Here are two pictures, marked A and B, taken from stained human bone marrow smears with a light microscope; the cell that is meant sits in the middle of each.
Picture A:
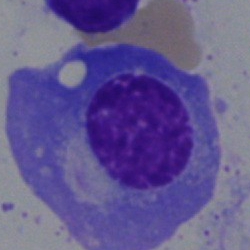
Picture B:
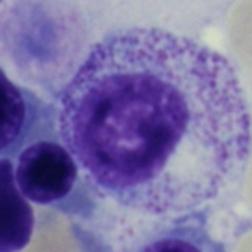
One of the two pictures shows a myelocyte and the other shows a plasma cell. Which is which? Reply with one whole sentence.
It is picture A that shows a plasma cell, and picture B that shows a myelocyte.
